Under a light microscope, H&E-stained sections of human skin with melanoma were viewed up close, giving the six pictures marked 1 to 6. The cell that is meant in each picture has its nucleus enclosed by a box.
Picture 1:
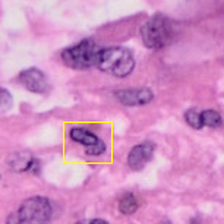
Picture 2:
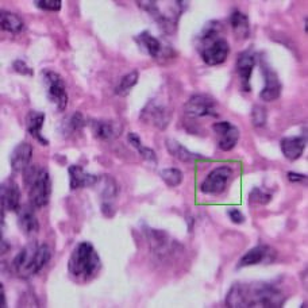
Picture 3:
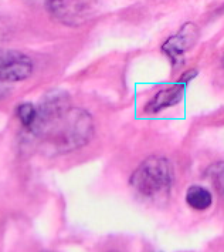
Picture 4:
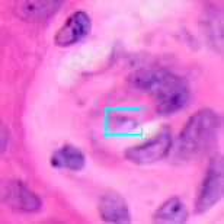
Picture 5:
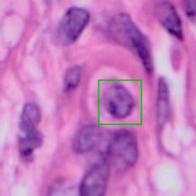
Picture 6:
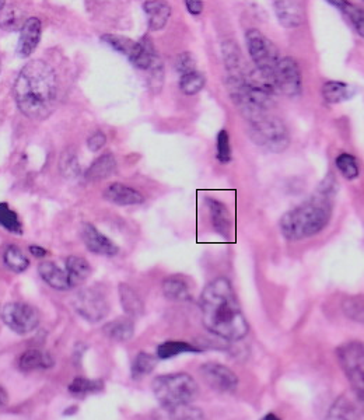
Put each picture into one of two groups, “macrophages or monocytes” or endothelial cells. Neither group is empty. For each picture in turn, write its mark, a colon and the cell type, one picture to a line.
1: macrophage or monocyte
2: macrophage or monocyte
3: macrophage or monocyte
4: endothelial cell
5: endothelial cell
6: macrophage or monocyte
